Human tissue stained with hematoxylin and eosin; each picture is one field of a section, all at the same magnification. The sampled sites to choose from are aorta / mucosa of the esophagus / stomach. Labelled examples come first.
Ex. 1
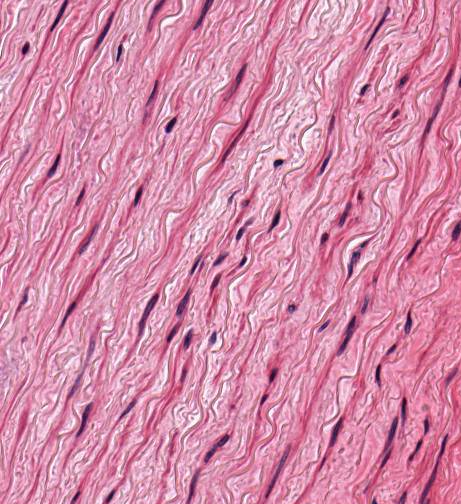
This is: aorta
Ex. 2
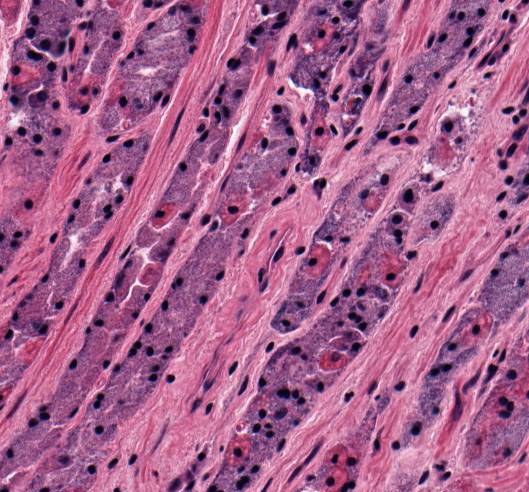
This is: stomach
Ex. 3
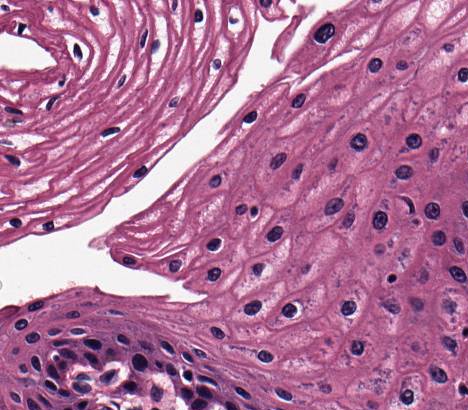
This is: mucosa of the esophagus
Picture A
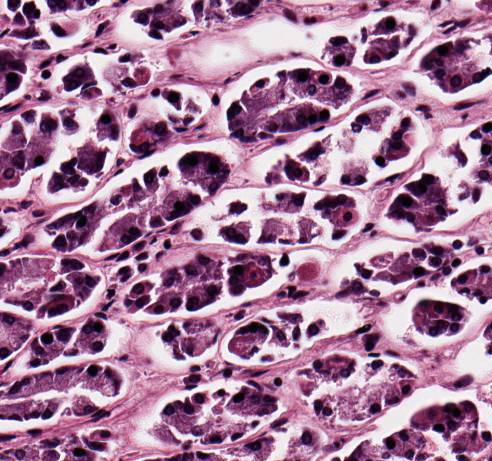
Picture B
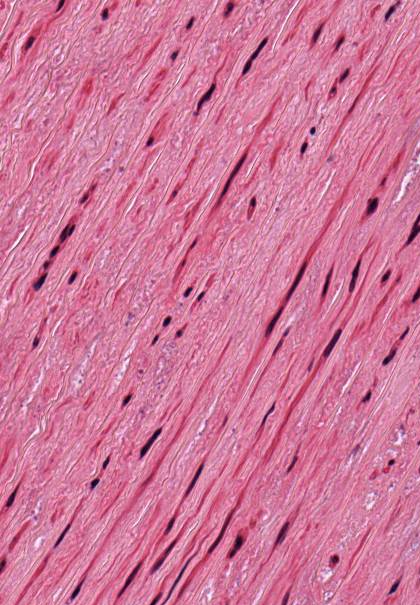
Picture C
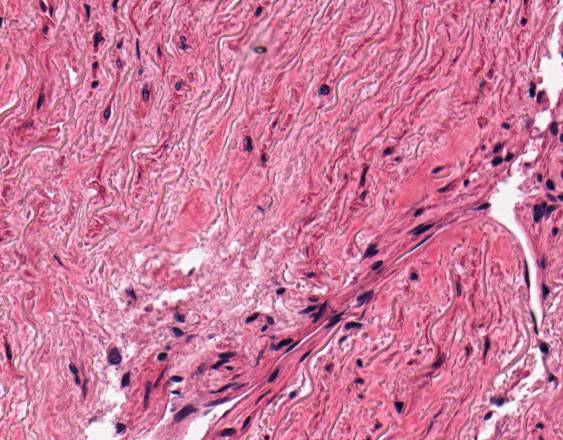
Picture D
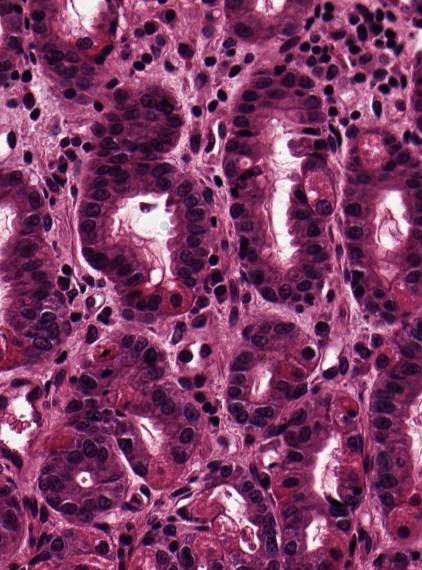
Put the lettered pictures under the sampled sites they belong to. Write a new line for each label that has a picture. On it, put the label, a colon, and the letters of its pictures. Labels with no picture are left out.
aorta: B, C
stomach: A, D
